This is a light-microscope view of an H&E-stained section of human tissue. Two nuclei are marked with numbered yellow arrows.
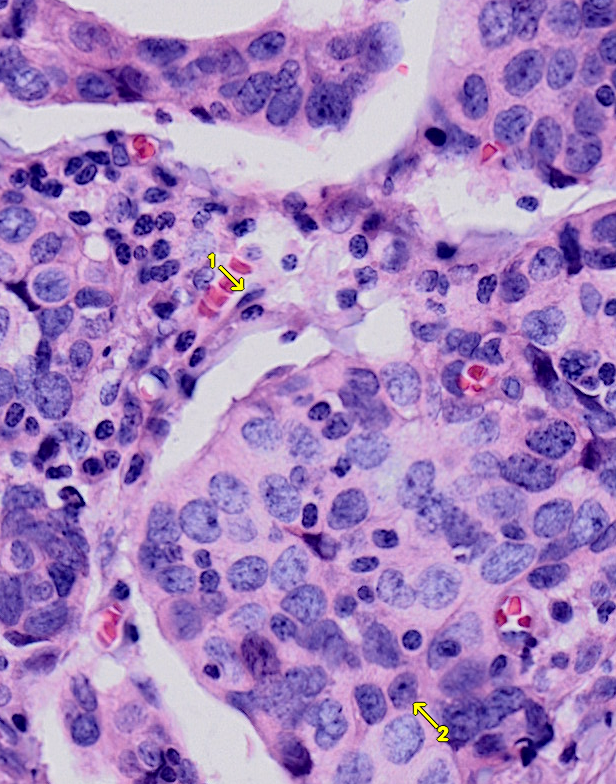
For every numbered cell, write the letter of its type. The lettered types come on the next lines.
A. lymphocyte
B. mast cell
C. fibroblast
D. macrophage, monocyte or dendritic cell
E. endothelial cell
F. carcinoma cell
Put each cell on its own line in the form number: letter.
1: E
2: F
